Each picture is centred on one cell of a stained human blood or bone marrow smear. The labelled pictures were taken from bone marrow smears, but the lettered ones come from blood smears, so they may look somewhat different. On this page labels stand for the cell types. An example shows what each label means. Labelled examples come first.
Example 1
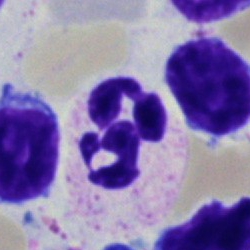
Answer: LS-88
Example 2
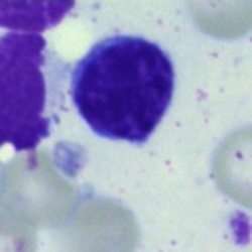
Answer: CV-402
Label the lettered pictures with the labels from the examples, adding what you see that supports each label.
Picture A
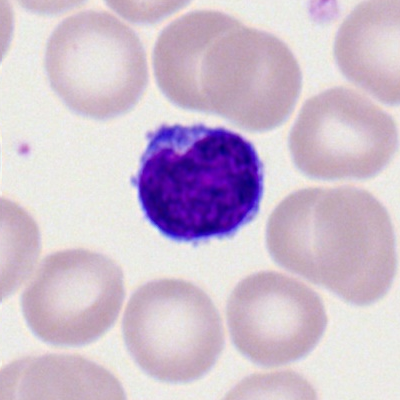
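CV-402. Evidence: The nucleus fills almost the whole cell.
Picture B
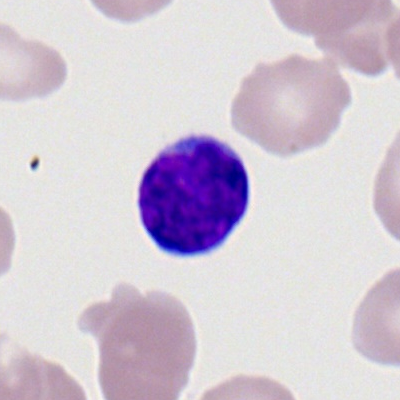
CV-402. Evidence: The cytoplasm is scant, showing as a thin crescent at the upper edge.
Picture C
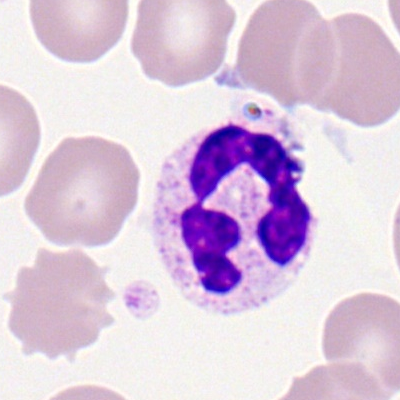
LS-88. Evidence: The nucleus is divided into several lobes that curve in a loop around a pale central patch of cytoplasm.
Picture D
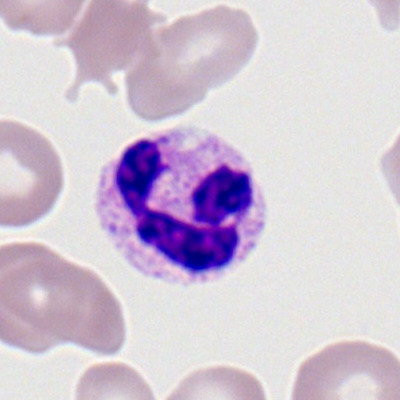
LS-88. Evidence: The nucleus is divided into separate lobes joined by narrow links.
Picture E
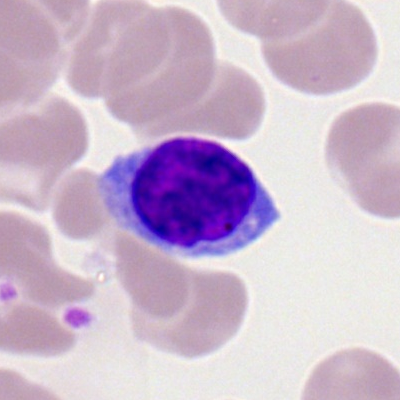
CV-402. Evidence: The nucleus fills most of the cell, leaving a modest rim of cytoplasm.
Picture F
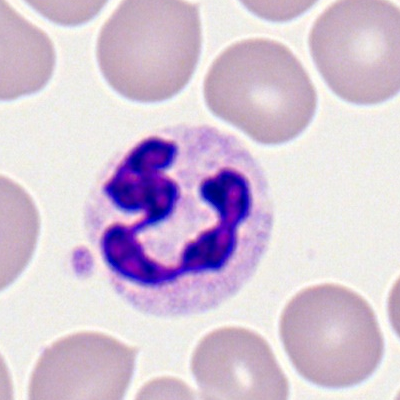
LS-88. Evidence: The cytoplasm is plentiful and pale pinkish-lilac.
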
